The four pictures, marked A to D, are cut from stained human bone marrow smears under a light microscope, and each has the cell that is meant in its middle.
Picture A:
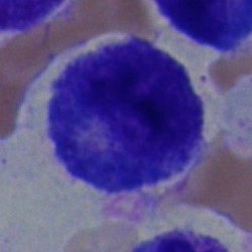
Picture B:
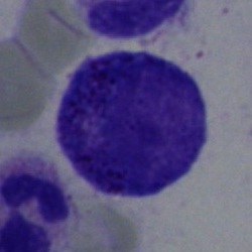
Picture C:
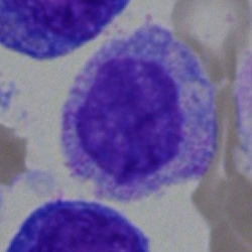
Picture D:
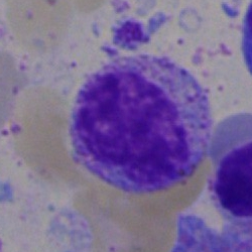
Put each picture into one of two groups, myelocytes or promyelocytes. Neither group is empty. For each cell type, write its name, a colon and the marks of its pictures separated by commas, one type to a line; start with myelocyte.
myelocyte: C, D
promyelocyte: A, B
